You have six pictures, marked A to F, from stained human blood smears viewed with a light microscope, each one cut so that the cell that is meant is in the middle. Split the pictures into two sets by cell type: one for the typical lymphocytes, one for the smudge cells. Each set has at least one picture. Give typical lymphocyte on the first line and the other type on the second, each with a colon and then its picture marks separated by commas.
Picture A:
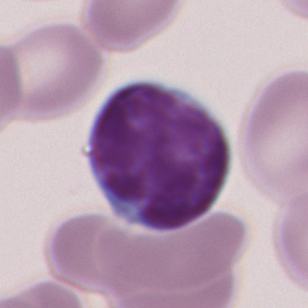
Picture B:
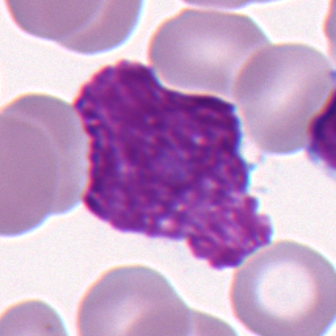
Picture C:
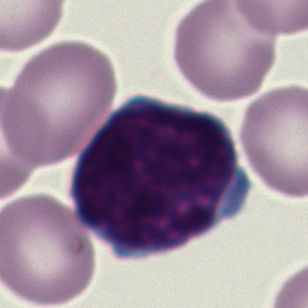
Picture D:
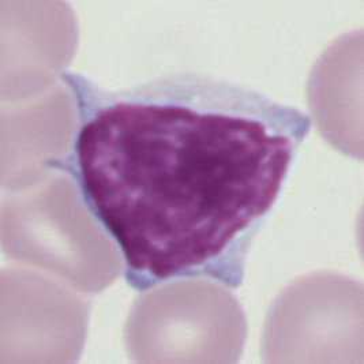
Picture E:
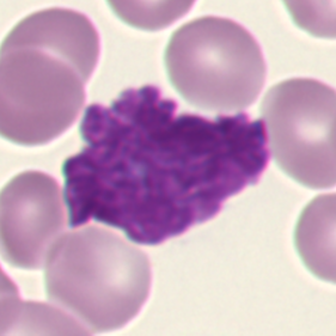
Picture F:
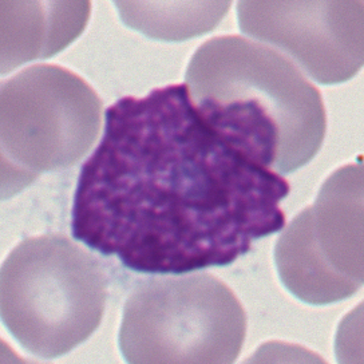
typical lymphocyte: A, C, D
smudge cell: B, E, F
